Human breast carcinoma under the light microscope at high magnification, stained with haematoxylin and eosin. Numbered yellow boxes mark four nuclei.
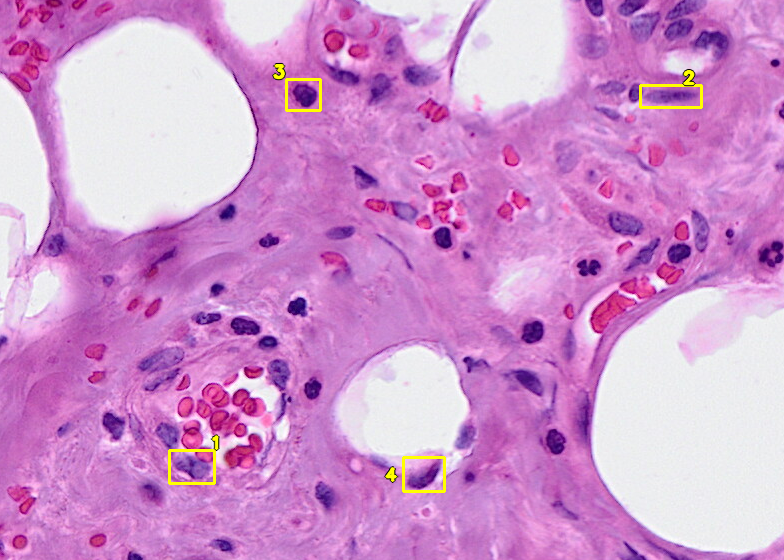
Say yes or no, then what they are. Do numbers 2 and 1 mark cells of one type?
No, cell 2 is a fibroblast and cell 1 is an endothelial cell.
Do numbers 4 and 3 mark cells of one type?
No, cell 4 is a fibroblast and cell 3 is a macrophage, monocyte or dendritic cell.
